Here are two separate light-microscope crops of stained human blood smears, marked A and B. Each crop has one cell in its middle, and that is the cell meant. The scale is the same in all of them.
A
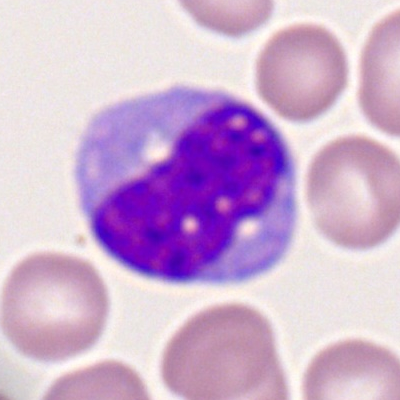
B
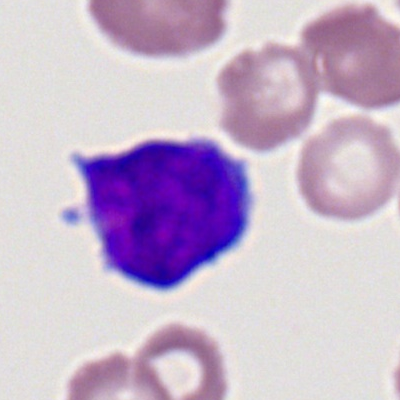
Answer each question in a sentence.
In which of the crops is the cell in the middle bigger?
Larger is the cell in crop A, at roughly 1.5 times the area of the other.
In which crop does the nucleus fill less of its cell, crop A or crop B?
In crop A the nucleus takes up the smaller part of its cell.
